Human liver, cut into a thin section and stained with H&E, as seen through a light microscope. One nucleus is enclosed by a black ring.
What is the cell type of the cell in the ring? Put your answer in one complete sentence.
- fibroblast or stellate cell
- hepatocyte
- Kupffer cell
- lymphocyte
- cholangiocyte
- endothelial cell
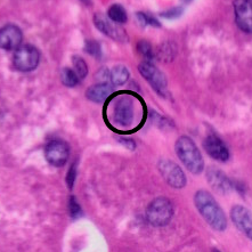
Students should answer that the cell in the ring is a cholangiocyte.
